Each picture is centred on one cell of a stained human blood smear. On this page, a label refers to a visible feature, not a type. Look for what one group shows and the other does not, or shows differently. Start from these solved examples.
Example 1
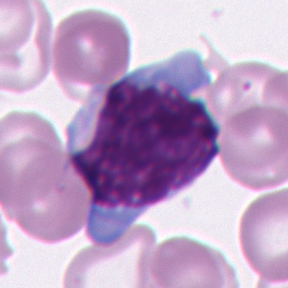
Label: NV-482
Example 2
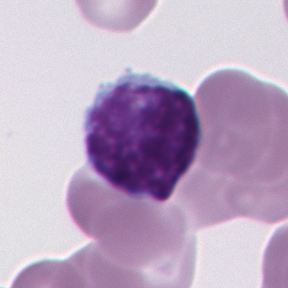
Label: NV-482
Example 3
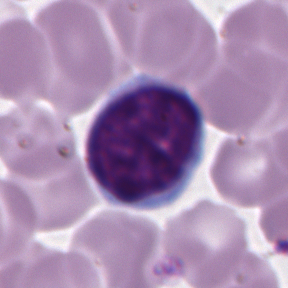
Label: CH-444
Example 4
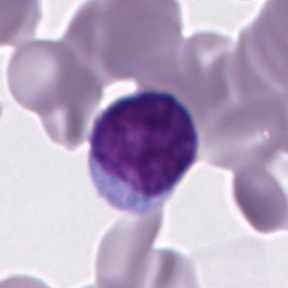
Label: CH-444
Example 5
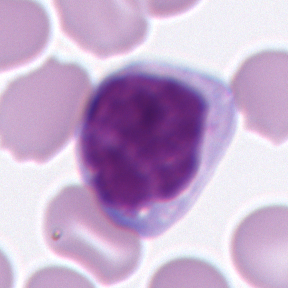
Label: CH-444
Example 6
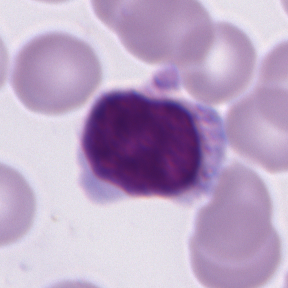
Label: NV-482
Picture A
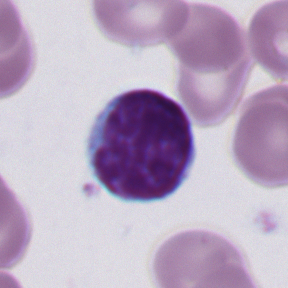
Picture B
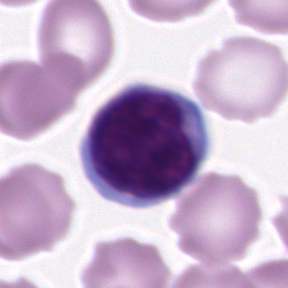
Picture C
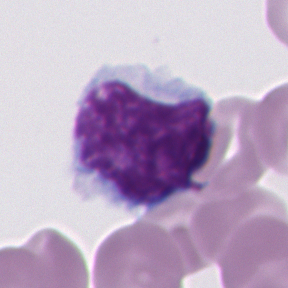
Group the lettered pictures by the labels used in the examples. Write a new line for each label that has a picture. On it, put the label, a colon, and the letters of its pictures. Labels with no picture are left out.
NV-482: C
CH-444: A, B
